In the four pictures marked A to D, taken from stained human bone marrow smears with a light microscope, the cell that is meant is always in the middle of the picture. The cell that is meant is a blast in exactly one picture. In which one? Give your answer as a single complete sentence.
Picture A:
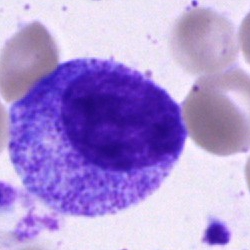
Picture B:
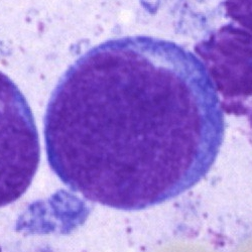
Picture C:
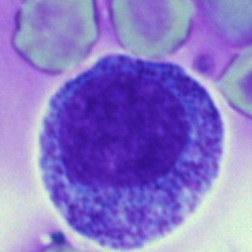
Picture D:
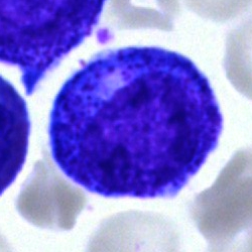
It is picture B that shows the blast.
